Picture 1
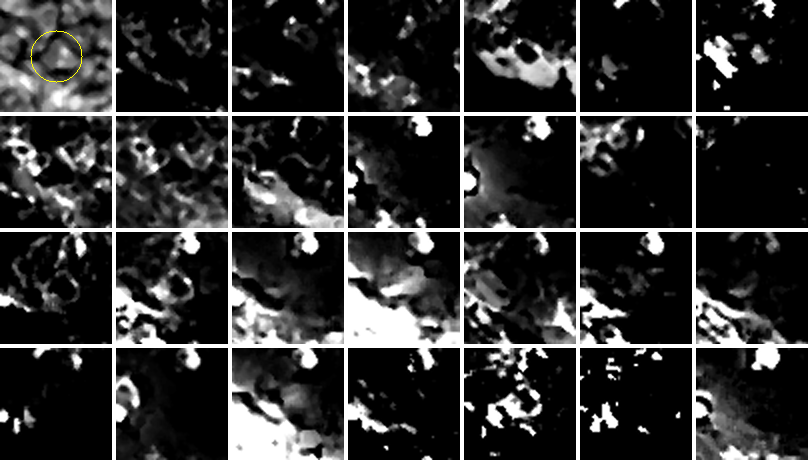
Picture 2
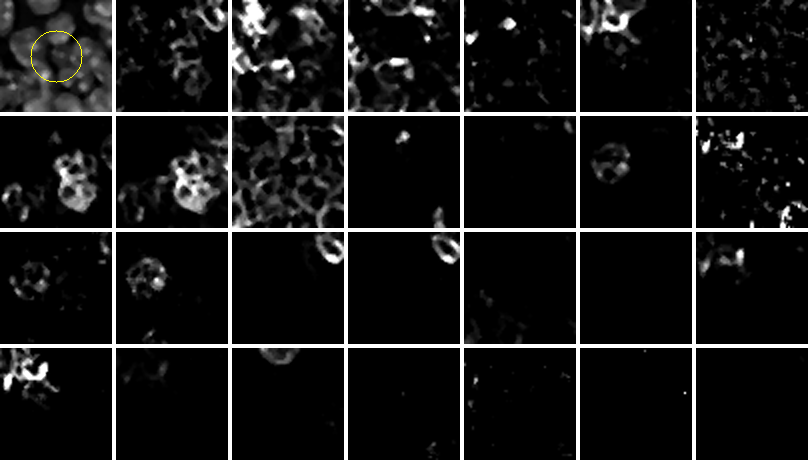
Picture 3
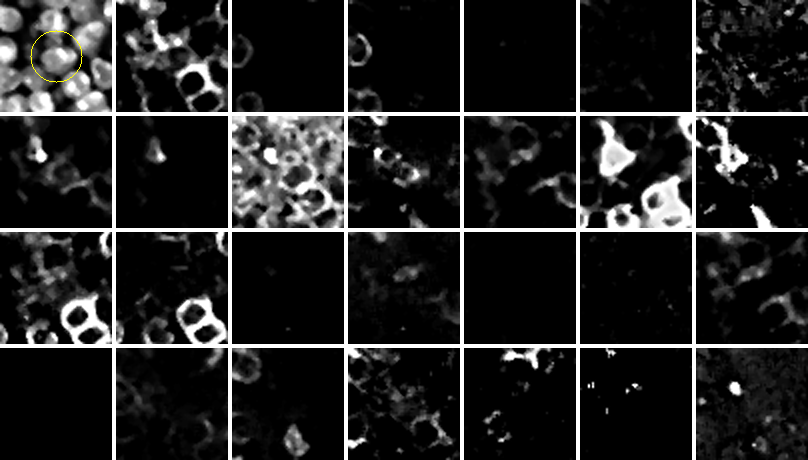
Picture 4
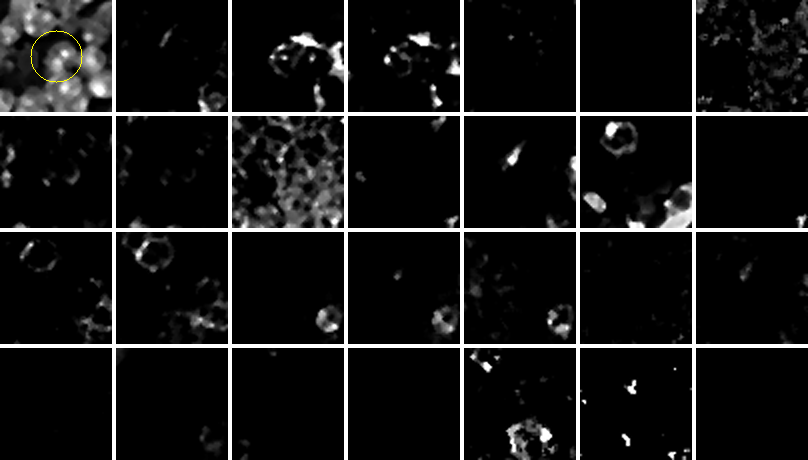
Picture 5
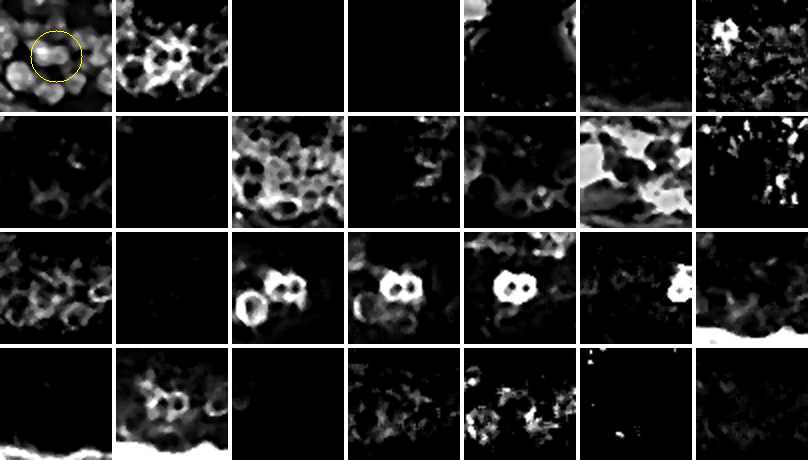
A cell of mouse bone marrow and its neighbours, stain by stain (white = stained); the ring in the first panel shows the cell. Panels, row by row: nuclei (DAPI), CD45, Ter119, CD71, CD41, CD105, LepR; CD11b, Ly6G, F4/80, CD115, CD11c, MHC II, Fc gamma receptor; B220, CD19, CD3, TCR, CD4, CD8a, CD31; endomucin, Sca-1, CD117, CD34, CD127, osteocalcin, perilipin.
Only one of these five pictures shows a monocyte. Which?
Picture 3.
